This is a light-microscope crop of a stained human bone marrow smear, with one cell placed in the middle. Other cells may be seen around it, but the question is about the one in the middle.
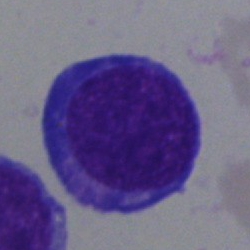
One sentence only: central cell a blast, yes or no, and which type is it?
Yes, that is right: the middle cell is a blast.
